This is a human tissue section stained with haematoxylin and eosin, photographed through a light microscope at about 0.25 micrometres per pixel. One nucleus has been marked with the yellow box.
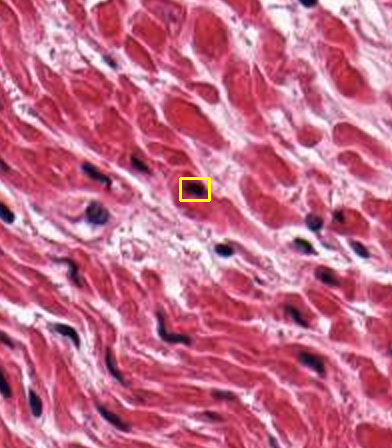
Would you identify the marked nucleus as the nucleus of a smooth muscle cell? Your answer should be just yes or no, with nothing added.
yes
